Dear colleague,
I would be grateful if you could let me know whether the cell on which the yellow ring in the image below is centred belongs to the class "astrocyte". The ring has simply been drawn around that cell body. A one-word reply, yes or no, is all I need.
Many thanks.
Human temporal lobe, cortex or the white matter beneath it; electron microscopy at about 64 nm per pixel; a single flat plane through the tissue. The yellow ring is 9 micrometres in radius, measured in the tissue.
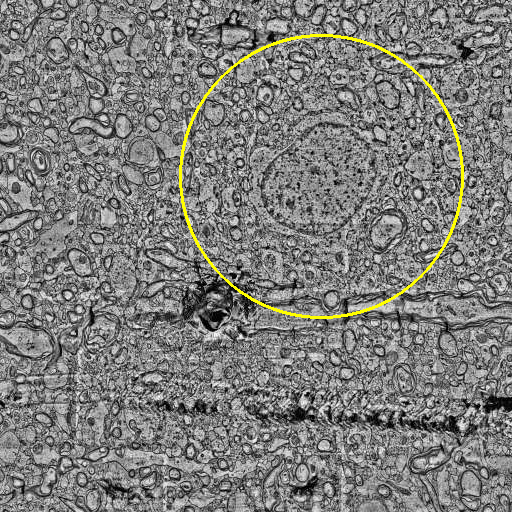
no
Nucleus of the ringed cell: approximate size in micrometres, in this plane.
Approximately 8 x 7 micrometres in this plane.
